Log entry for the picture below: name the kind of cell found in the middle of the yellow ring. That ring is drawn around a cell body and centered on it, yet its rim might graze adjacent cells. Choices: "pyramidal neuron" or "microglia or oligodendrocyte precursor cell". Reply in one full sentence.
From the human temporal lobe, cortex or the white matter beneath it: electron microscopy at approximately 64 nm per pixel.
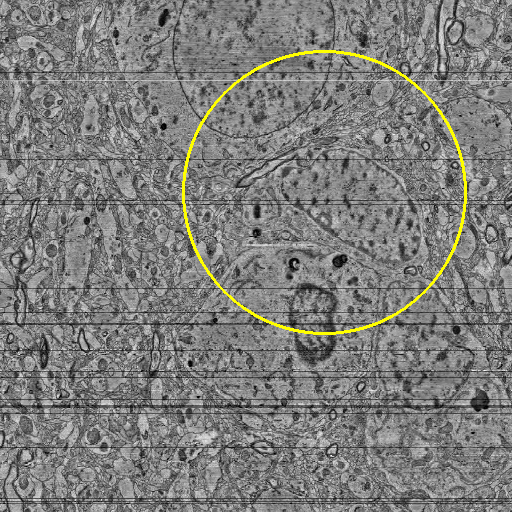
The cell in the middle of the yellow ring in this picture is a microglial cell or oligodendrocyte precursor cell.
